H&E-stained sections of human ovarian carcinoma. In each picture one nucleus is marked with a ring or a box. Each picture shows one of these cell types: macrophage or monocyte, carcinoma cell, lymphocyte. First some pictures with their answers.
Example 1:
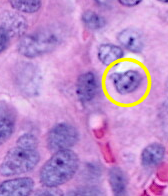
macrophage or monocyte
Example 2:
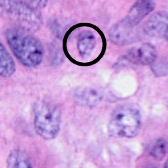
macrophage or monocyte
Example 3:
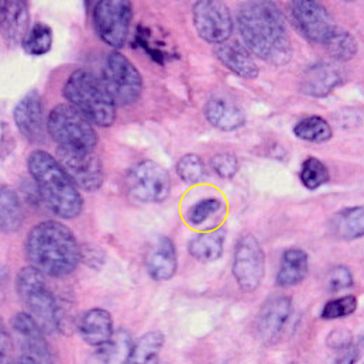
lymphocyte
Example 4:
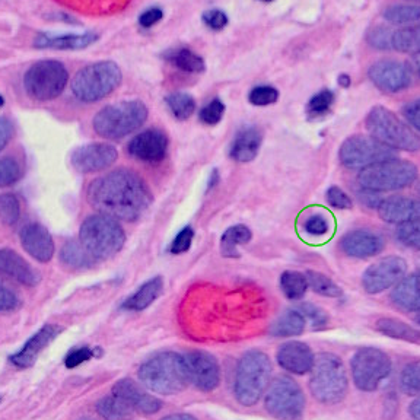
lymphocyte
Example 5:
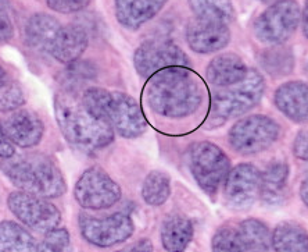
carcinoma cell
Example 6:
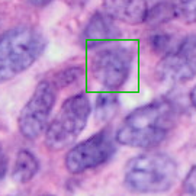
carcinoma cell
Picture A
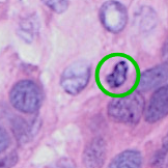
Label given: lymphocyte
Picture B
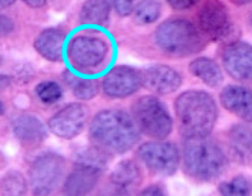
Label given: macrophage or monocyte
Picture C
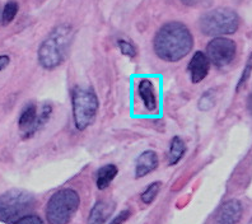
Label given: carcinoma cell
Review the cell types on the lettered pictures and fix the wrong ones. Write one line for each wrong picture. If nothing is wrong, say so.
B: carcinoma cell, not macrophage or monocyte
C: lymphocyte, not carcinoma cell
